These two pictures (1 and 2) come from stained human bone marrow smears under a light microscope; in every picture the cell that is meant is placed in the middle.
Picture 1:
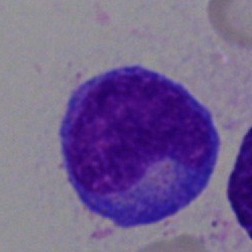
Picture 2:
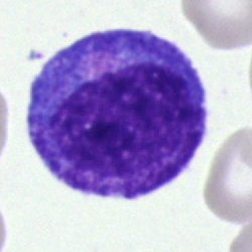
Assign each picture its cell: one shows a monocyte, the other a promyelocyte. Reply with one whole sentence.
In picture 1 the cell is a monocyte; in picture 2, a promyelocyte.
